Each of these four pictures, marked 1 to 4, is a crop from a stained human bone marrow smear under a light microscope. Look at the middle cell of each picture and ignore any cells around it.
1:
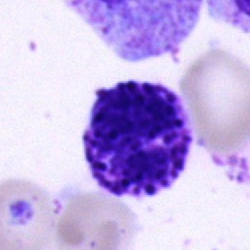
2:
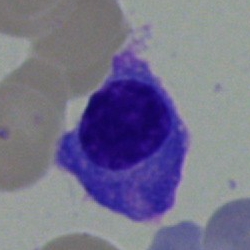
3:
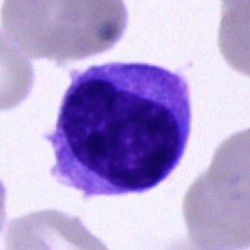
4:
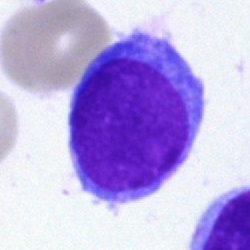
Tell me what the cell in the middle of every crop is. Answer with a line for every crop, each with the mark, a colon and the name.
1: basophil
2: plasma cell
3: monocyte
4: blast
